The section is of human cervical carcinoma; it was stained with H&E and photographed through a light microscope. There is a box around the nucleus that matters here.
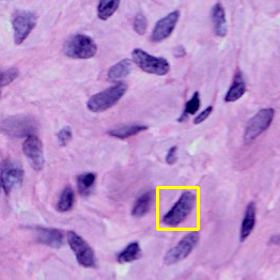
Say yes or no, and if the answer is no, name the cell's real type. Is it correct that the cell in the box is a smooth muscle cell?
No, it is a fibroblast.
